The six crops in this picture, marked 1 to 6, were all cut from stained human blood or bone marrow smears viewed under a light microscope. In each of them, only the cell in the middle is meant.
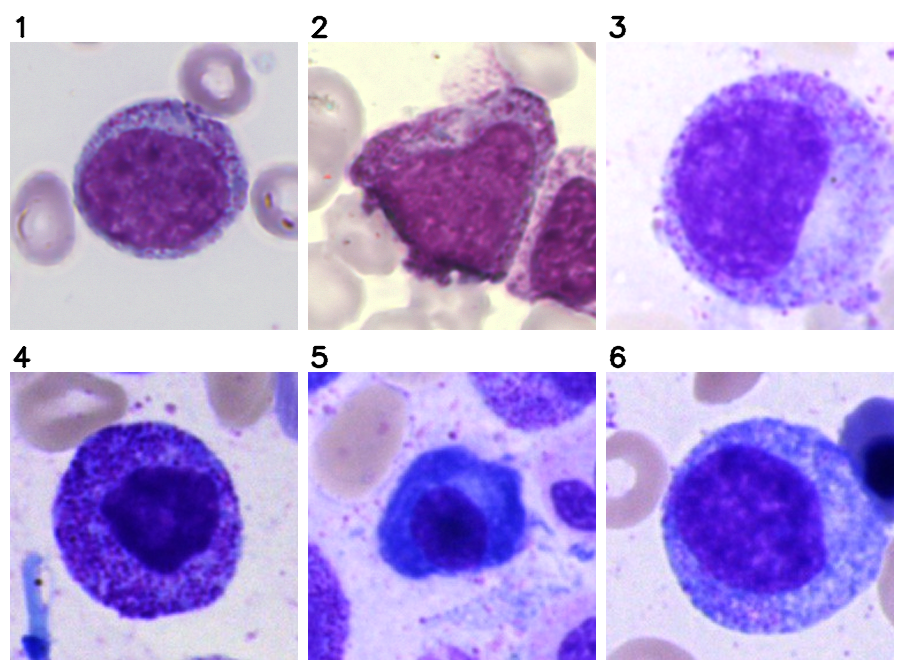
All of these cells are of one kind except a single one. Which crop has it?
5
